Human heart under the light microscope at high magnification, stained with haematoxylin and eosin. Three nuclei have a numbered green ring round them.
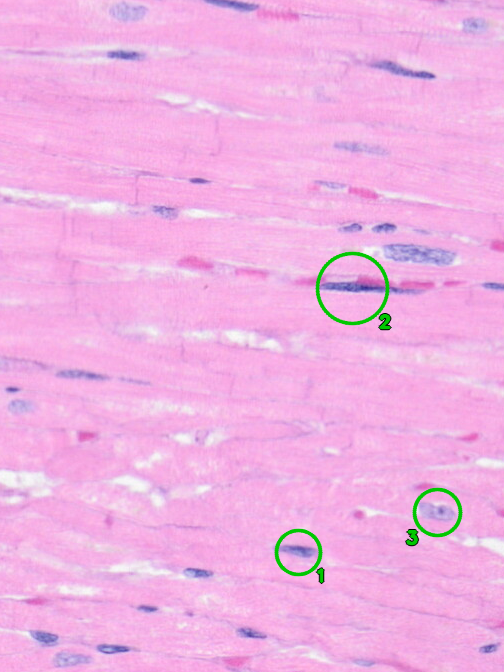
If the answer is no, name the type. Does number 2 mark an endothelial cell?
Yes.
